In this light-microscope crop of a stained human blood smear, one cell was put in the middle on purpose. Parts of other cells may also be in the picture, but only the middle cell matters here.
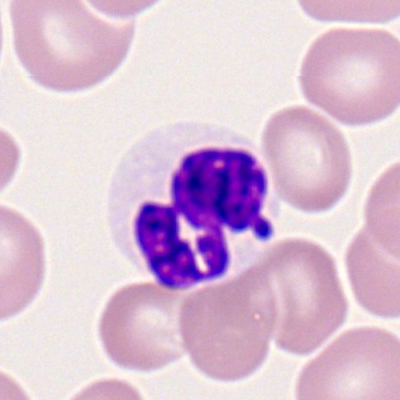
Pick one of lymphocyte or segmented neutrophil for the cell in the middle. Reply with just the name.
segmented neutrophil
